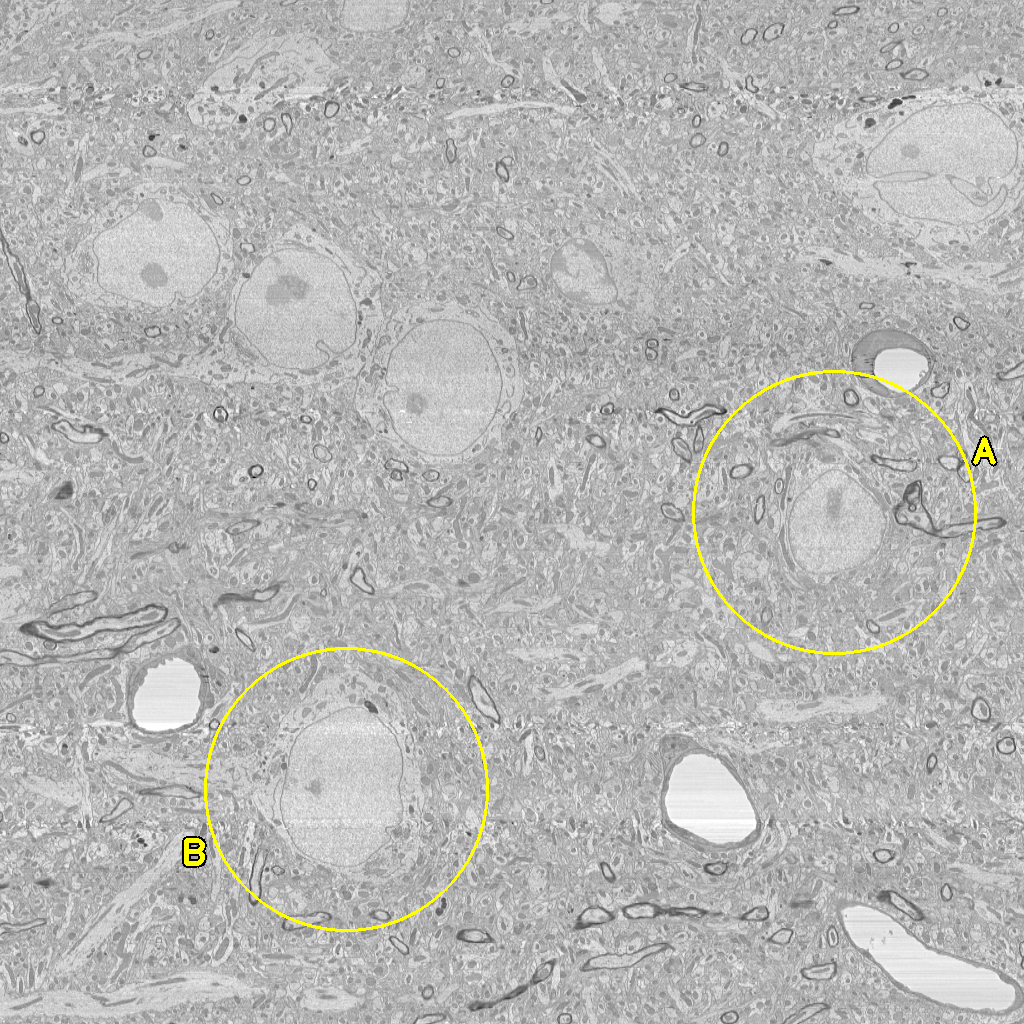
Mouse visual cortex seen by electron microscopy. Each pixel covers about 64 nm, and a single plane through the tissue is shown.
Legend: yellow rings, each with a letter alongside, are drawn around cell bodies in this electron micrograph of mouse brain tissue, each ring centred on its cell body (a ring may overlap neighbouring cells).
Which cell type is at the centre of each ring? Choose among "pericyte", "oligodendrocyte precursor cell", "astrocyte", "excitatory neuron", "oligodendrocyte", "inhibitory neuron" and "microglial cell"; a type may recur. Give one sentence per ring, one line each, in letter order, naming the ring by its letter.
Ring A has an astrocyte at its centre.
Ring B has an excitatory neuron at its centre.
